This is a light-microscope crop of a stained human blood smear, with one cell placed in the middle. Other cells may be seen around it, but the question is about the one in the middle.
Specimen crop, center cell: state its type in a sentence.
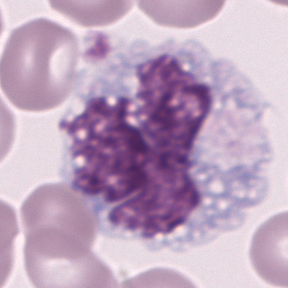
Whatever else lies nearby, the middle cell is a monocyte.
